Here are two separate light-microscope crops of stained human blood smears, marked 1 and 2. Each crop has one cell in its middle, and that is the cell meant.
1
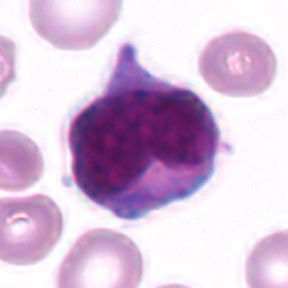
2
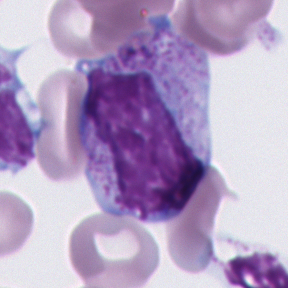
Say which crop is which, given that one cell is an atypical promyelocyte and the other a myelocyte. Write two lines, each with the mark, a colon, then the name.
1: atypical promyelocyte
2: myelocyte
